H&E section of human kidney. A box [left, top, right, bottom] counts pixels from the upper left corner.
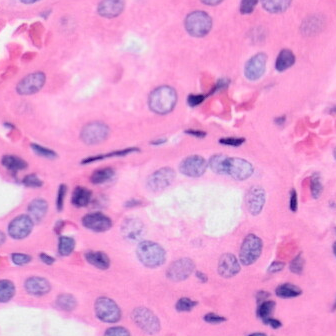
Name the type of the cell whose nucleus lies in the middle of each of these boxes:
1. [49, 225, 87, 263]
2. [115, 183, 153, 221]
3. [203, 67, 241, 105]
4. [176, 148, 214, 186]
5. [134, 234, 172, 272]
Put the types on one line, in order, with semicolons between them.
endothelial cell; collecting duct cell; endothelial cell; collecting duct cell; collecting duct cell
